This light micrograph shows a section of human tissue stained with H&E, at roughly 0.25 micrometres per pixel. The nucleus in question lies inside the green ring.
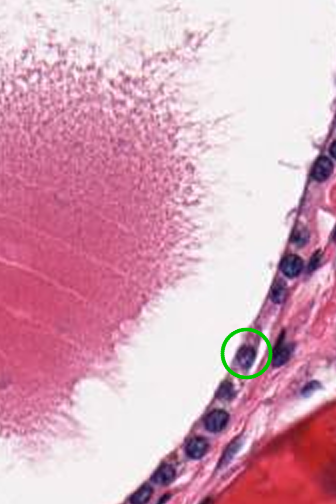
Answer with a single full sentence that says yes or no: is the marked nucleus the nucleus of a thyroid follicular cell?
Yes, the marked nucleus is present within a thyroid follicular cell.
